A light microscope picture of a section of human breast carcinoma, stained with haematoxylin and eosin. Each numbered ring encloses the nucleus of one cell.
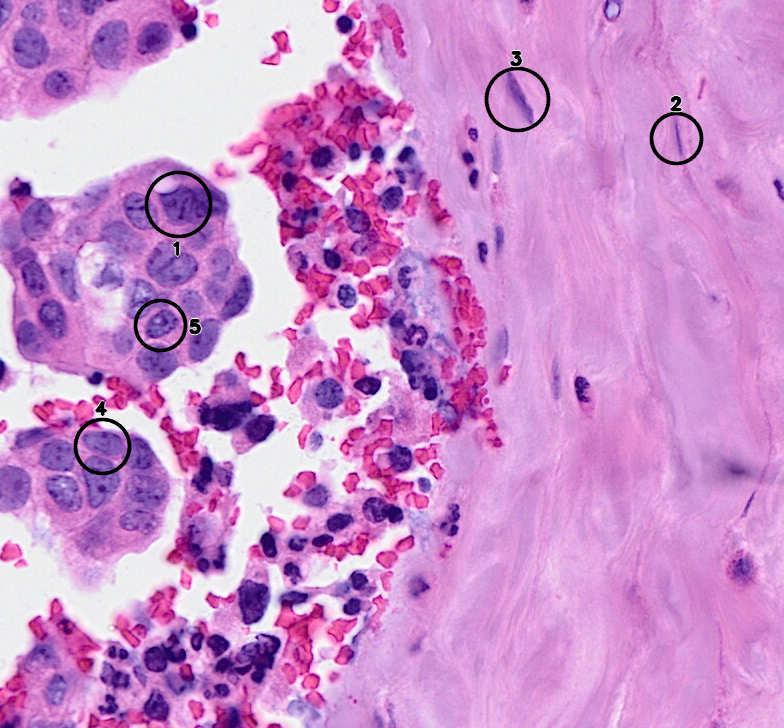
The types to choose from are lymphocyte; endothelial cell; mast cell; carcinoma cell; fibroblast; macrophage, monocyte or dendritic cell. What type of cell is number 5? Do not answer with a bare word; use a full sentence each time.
In this section, the cell numbered 5 is a carcinoma cell.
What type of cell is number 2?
Cell 2, among those numbered, is a fibroblast.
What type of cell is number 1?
In this section, the cell numbered 1 is a carcinoma cell.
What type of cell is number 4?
The cell given label 4 is a carcinoma cell.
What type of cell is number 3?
The cell indicated with the number 3 is classed as a fibroblast.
